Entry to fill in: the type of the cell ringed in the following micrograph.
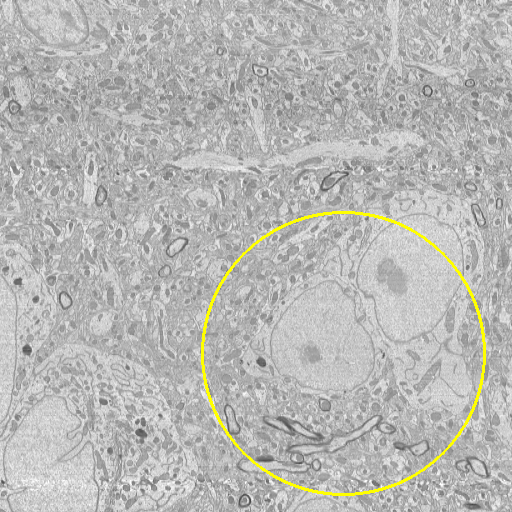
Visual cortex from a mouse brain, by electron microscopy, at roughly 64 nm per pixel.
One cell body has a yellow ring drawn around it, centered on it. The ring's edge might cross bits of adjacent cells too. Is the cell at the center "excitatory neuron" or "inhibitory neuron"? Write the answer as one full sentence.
This entry names an inhibitory neuron as the cell whose body lies at the ring's center.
